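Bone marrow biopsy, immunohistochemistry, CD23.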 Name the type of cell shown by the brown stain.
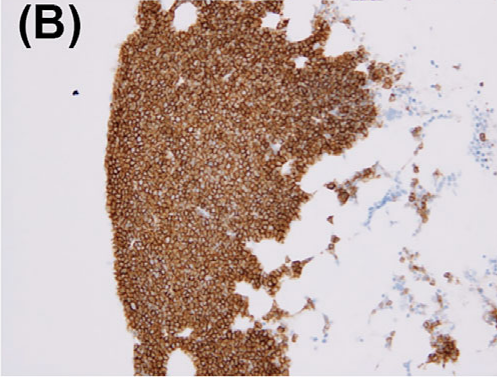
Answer: Lymphocytes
